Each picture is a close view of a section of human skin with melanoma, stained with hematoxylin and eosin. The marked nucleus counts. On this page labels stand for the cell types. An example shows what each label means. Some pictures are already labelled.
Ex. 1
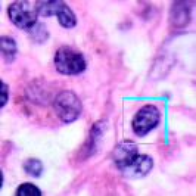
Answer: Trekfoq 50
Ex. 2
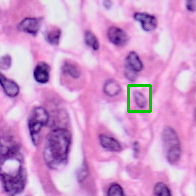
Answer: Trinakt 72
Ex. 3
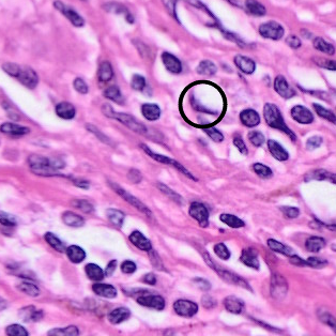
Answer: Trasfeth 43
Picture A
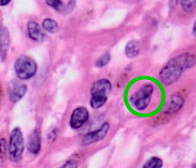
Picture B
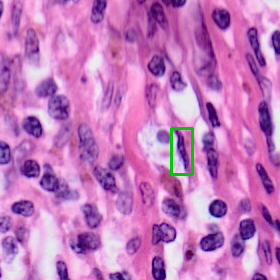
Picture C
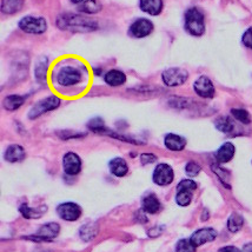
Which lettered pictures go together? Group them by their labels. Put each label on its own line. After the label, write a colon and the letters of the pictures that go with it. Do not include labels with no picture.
Trekfoq 50: A, C
Trasfeth 43: B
